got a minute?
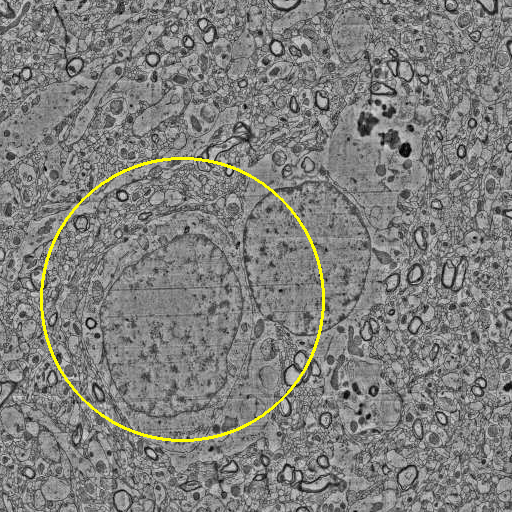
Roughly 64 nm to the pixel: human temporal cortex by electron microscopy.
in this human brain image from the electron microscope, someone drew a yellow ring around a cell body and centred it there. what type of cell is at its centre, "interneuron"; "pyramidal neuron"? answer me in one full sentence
It's a pyramidal neuron at the middle of that yellow ring in the shot.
